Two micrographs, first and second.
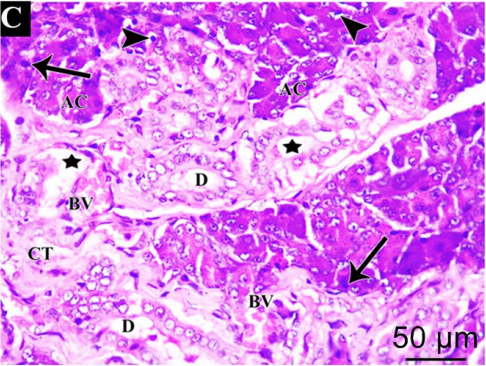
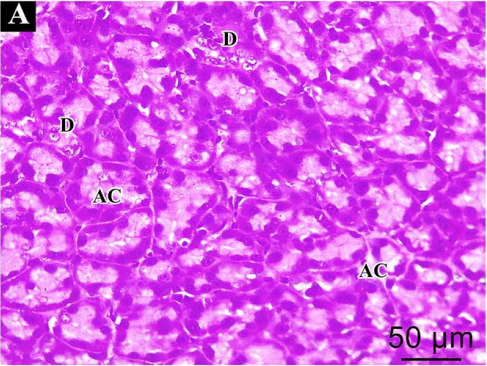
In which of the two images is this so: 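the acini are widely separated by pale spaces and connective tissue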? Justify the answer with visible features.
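First image: groups of acini are split apart by broad pale areas with fibrous tissue. Second image: acini lie tightly packed with only thin lines between them.
Hence: the first image.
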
